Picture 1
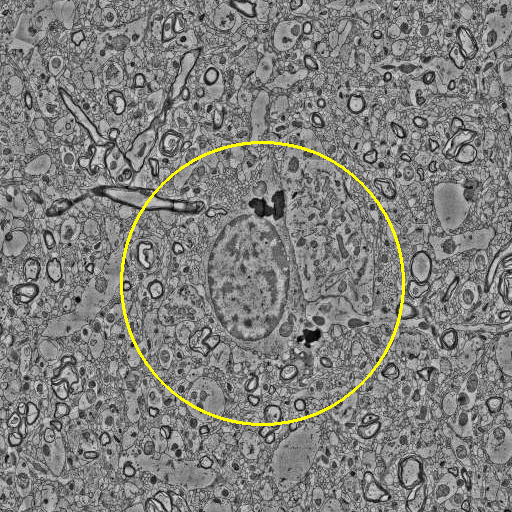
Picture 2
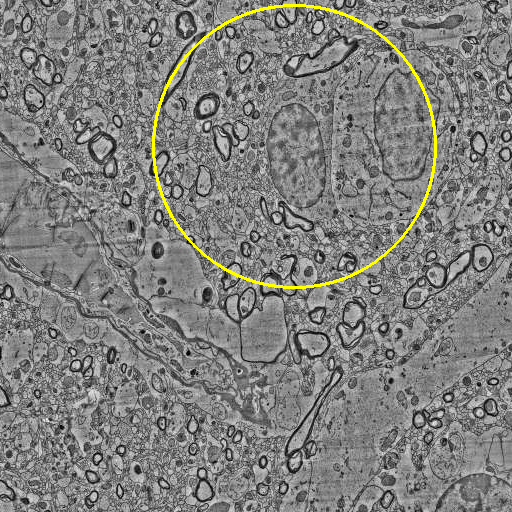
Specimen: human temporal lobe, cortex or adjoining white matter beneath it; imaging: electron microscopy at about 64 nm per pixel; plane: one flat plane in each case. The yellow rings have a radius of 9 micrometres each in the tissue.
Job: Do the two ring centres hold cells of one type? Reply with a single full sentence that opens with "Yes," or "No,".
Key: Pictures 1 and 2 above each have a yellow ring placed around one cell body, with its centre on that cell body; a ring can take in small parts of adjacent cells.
Yes, the cells at the two ring centres are of one single type.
